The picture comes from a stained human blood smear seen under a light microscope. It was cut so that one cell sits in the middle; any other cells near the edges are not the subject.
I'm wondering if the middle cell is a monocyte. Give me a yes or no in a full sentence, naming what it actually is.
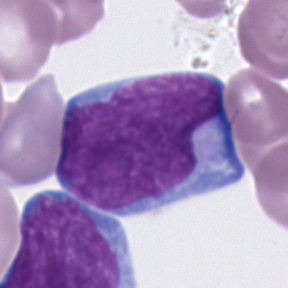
No, the label for the central cell is a myeloblast, not a monocyte.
